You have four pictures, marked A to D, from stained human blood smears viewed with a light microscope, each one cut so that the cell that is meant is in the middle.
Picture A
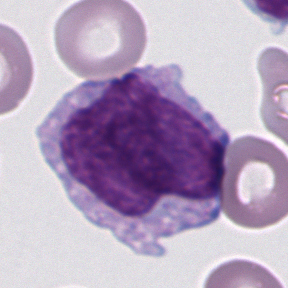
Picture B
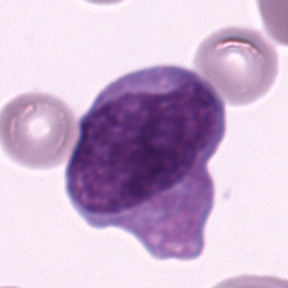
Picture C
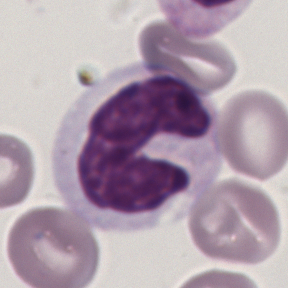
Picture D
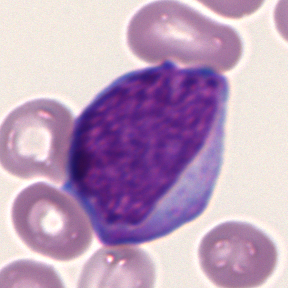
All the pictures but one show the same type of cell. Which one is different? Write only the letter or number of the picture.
C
